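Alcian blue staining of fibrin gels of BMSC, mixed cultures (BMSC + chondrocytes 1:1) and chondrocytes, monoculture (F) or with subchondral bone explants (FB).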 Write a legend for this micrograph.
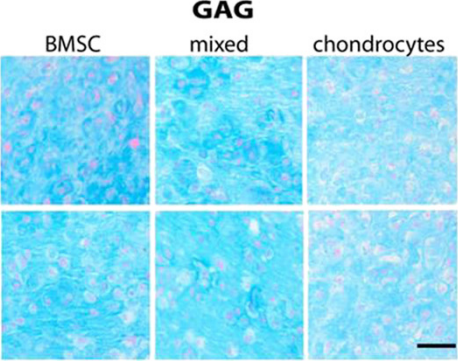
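The cells lie scattered singly through the blue matrix rather than in sheets. Many are rounded or oval, and a number sit within a paler halo or a ring of more intense blue around them. The depth of the blue varies from field to field: some fields are a strong, even blue, while others are paler and more washed out. In a few places the matrix shows faint streaks running across the field.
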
